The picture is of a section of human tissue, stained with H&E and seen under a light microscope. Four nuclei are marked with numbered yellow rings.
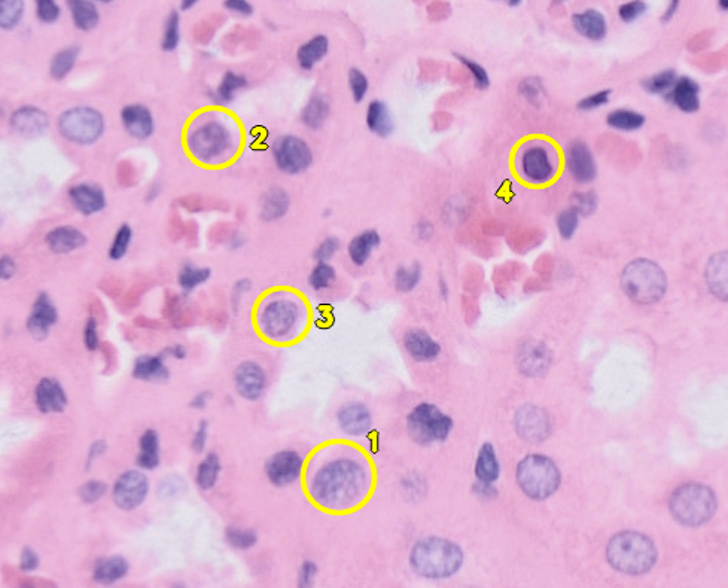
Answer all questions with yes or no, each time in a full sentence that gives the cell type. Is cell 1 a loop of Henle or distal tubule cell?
Yes, the numbered cell 1 is identified as a loop of Henle or distal tubule cell.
